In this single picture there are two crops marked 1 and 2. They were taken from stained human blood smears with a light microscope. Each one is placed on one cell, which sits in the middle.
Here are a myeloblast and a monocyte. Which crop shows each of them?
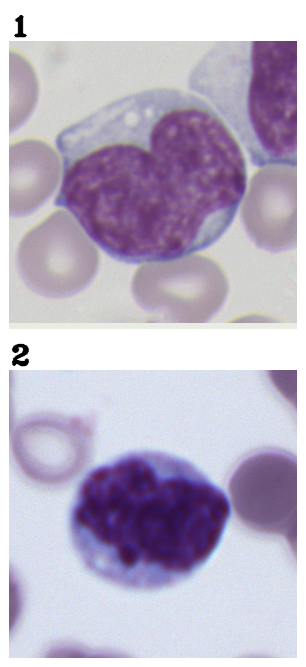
1: myeloblast
2: monocyte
